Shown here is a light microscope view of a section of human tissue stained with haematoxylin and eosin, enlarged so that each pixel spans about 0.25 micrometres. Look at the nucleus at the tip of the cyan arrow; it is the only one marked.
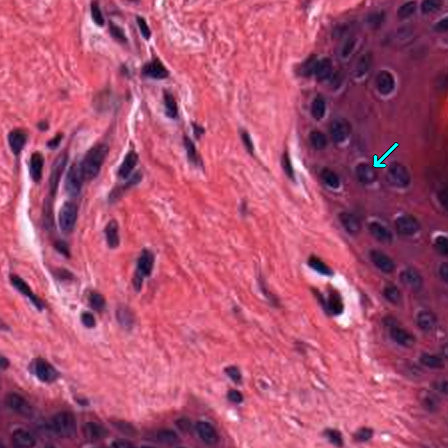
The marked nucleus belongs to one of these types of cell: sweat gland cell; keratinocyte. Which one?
keratinocyte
